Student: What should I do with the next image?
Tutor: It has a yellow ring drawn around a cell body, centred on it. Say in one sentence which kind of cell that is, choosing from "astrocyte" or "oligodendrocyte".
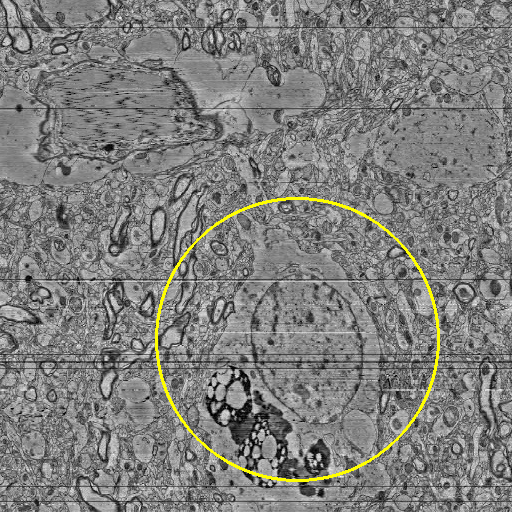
The ring's centre is occupied by an astrocyte.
